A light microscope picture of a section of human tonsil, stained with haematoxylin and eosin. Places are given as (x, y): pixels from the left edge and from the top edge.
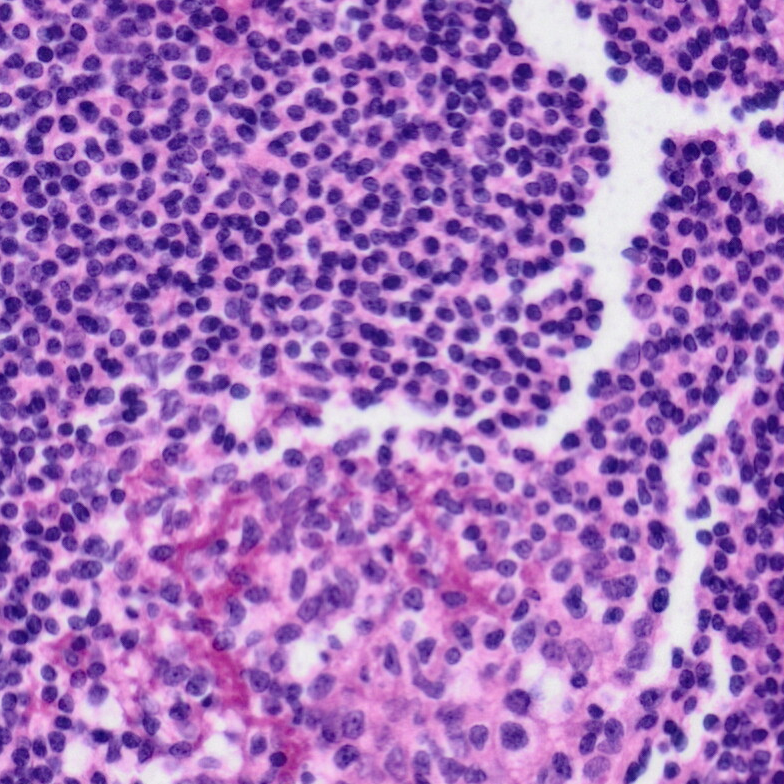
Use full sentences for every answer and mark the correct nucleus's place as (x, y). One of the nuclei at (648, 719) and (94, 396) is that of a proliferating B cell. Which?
It is at (648, 719) that the nucleus of a proliferating B cell is found.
